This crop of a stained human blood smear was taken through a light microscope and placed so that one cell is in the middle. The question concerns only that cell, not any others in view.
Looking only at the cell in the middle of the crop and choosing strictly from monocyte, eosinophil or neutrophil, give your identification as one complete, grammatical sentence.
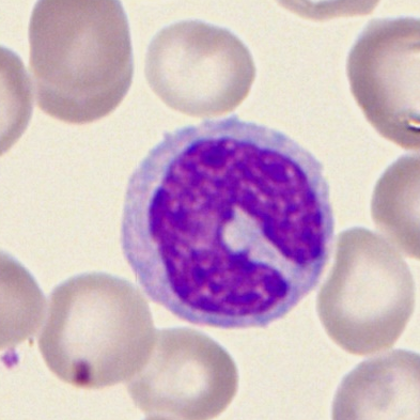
The cell featured at the centre of this crop is a monocyte.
